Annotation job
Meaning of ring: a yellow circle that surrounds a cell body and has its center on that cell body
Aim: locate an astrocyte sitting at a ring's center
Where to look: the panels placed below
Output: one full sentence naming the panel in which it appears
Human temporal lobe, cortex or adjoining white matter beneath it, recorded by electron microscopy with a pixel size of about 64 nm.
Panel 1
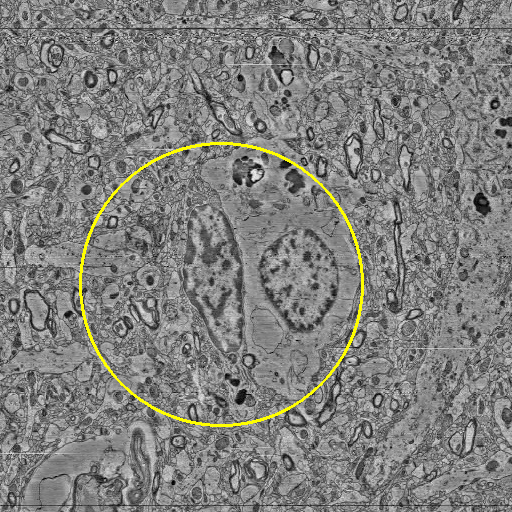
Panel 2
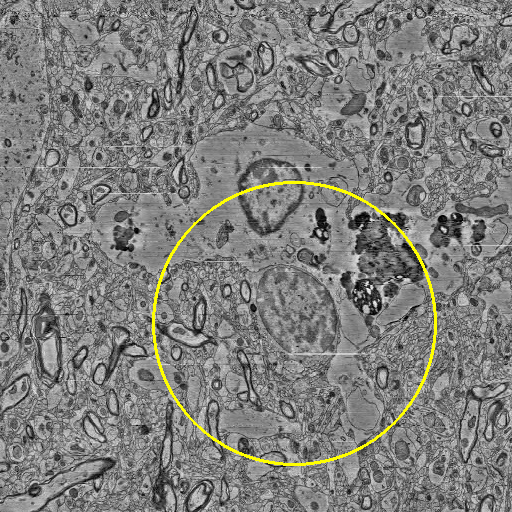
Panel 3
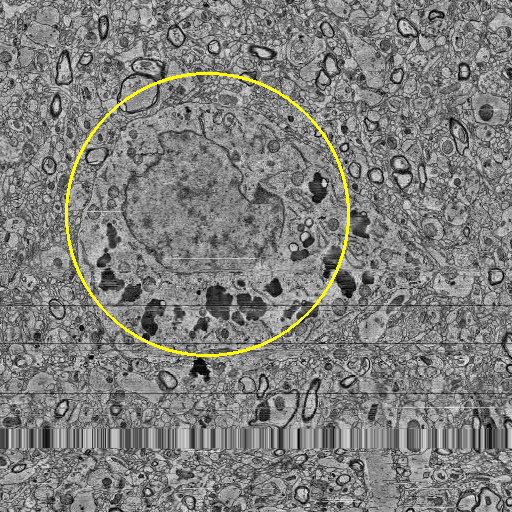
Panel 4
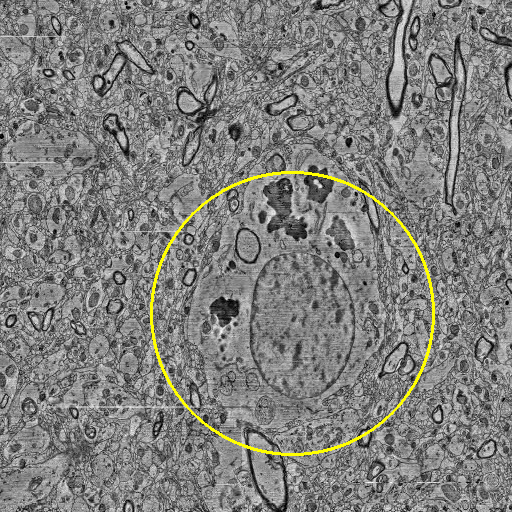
The cell at the center of the ring in panel 4 is the one sought.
